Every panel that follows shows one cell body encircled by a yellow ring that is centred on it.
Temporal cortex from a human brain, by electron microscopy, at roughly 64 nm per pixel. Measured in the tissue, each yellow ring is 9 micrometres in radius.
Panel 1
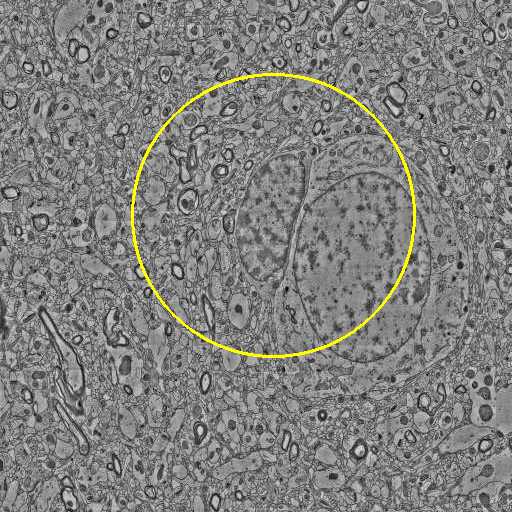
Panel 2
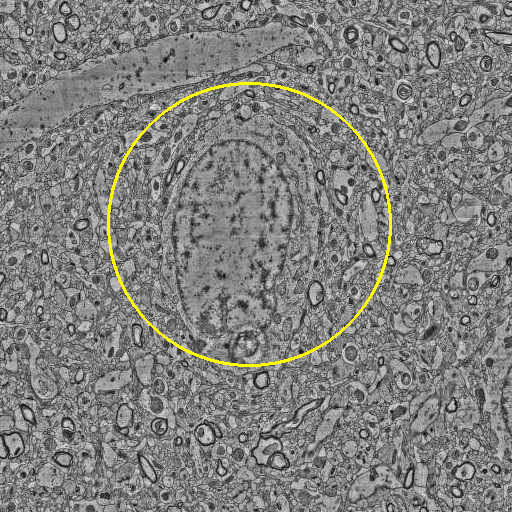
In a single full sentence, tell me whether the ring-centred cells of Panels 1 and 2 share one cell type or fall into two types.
In Panel 1 and Panel 2, the cells at the ring centres fall into two types.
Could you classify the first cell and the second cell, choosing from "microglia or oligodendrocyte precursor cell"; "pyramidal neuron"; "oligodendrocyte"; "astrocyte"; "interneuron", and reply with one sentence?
The second cell is an interneuron, while the first is an oligodendrocyte.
